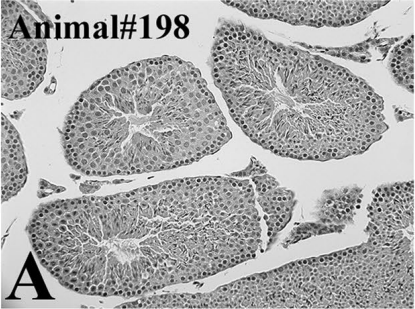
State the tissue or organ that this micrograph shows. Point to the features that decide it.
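Round to oval tubules filled with a many-layered epithelium of round nuclei. Each tubule has a small central lumen with fine strands pointing into it.
Hence: testes.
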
